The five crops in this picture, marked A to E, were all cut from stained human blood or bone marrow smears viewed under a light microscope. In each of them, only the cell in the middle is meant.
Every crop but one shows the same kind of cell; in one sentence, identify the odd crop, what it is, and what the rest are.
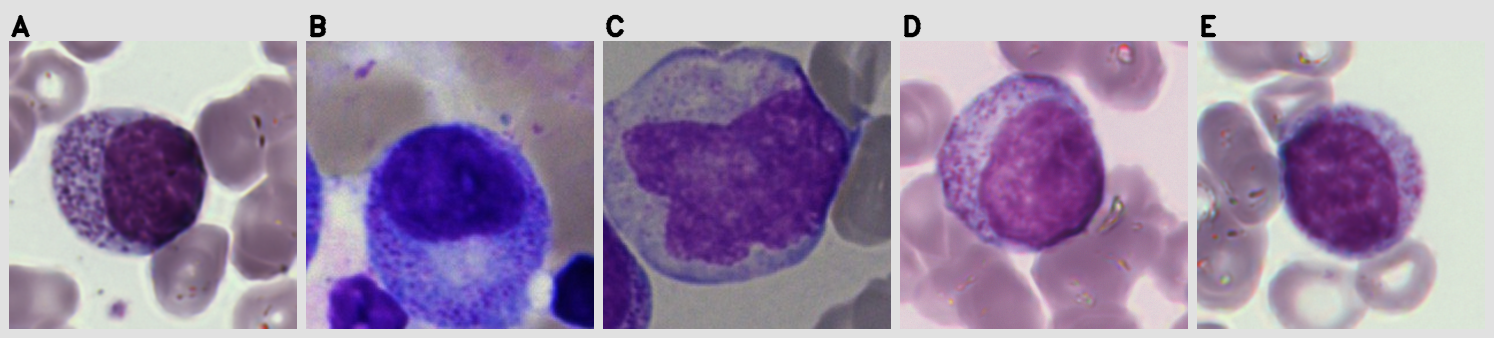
In contrast to the other crops, all of which show myelocytes, crop C shows a monocyte.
